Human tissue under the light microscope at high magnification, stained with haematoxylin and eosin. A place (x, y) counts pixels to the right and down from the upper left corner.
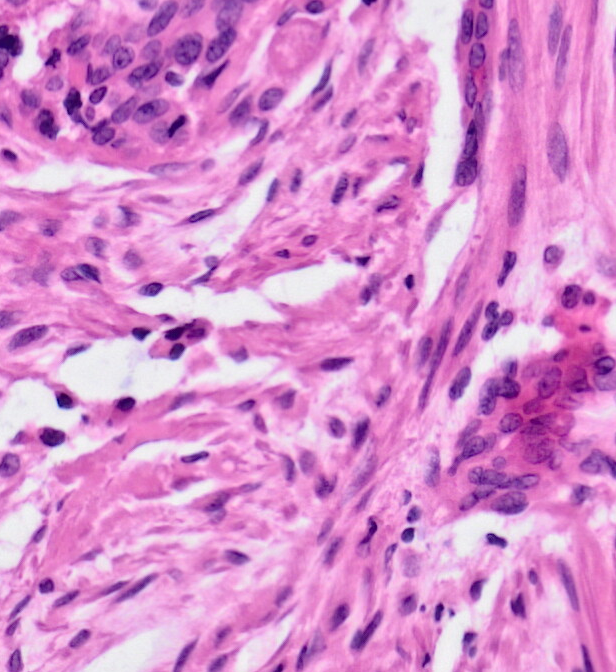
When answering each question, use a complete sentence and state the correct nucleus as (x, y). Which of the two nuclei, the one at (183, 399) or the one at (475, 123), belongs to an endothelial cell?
The nucleus positioned at (475, 123) forms part of an endothelial cell.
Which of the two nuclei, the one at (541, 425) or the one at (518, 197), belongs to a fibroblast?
The one at (518, 197) is the nucleus belonging to a fibroblast, not the other one.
